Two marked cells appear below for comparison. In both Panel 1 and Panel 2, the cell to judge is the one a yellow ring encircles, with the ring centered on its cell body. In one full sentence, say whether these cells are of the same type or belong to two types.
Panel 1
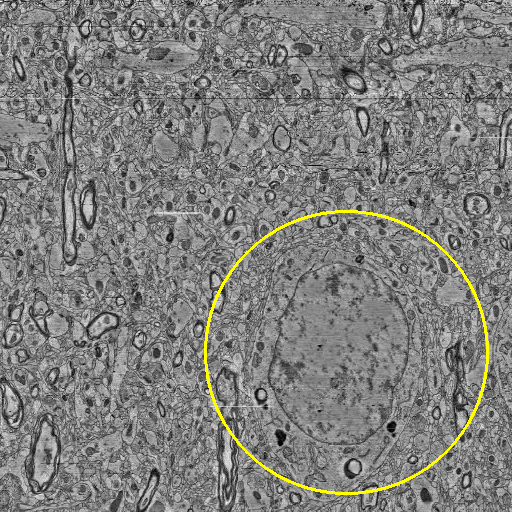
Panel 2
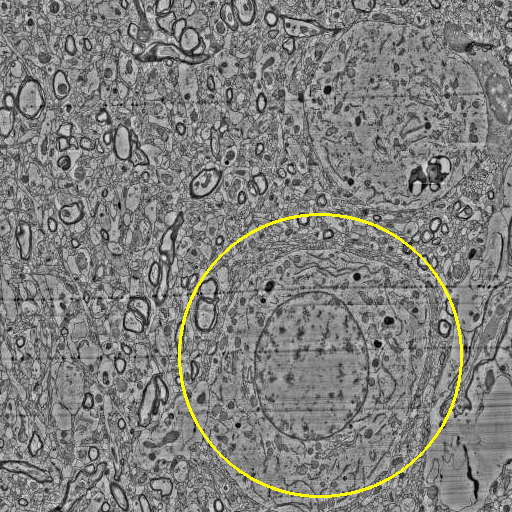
The cell centered in the Panel 1 ring and the one in Panel 2 are of the same type.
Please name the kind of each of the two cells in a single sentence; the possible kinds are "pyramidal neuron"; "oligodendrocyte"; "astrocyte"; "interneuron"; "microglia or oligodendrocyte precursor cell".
In each of the two pictures, the ringed cell is a pyramidal neuron.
